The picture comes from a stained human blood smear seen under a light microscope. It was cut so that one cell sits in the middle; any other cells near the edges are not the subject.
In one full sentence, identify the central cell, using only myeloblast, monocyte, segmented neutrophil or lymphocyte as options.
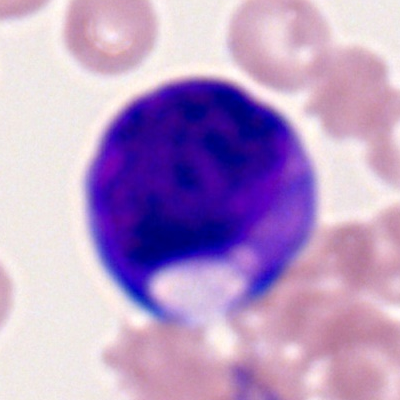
This crop is built around a myeloblast at its centre.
